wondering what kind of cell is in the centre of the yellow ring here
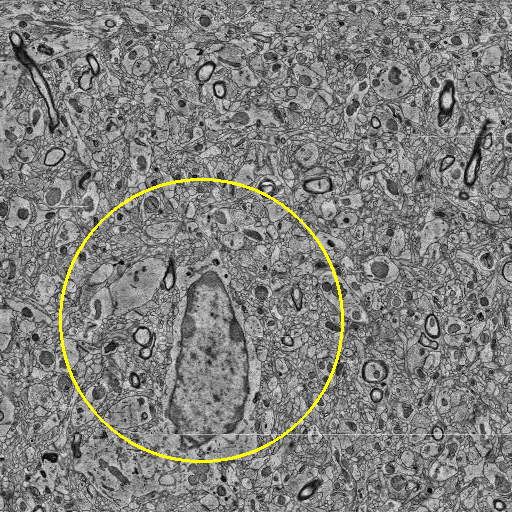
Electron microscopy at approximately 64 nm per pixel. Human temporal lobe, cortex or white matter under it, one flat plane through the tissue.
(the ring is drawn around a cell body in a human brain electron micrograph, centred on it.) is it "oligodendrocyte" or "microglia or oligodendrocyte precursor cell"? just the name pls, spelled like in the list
microglia or oligodendrocyte precursor cell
